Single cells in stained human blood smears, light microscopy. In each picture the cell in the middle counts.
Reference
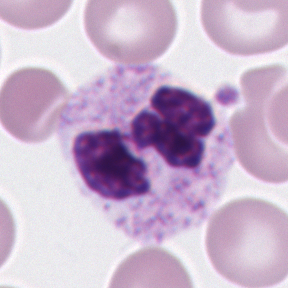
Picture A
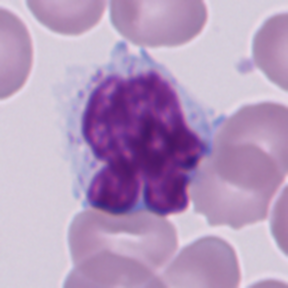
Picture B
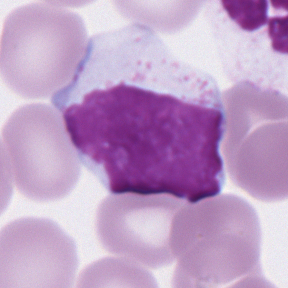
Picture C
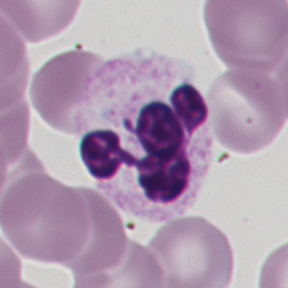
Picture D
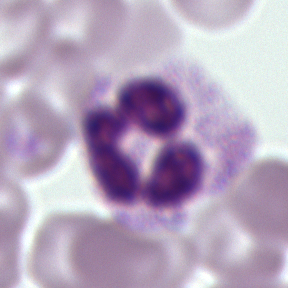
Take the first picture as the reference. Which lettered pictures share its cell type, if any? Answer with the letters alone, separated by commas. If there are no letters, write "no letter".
C, D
